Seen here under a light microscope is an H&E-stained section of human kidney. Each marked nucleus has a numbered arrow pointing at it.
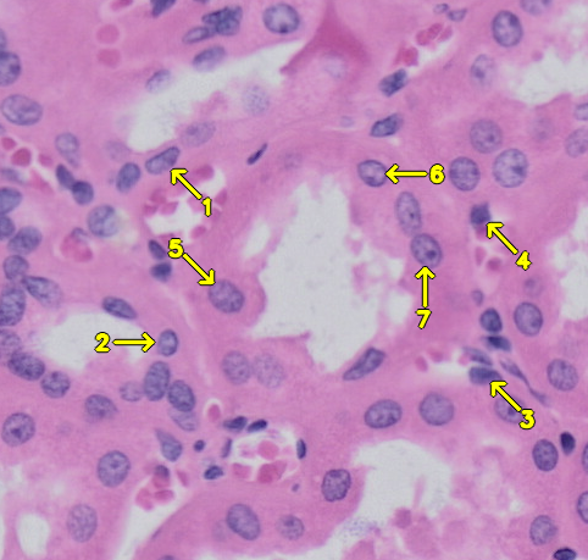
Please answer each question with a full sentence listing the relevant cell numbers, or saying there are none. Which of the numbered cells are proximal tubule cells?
In this section, the cells numbered 5, 6 and 7 are proximal tubule cells.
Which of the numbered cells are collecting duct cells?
The cells numbered 1 and 2 are, by type, collecting duct cells.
